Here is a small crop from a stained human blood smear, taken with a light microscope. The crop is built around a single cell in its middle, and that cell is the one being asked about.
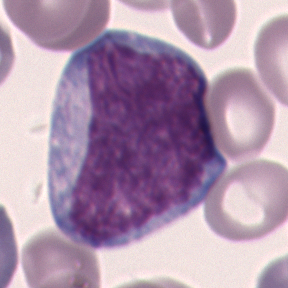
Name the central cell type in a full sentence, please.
In the central position of this crop, the cell is a promyelocyte.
